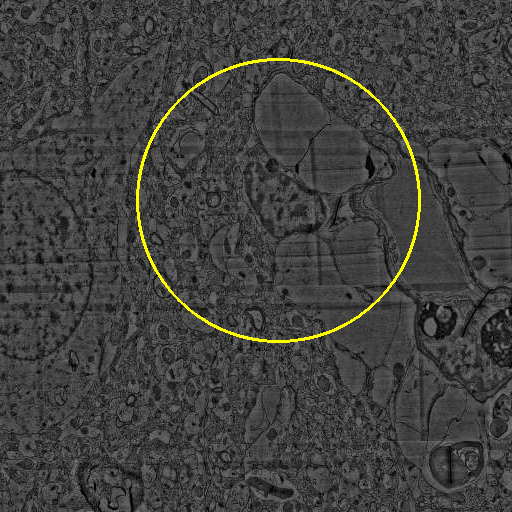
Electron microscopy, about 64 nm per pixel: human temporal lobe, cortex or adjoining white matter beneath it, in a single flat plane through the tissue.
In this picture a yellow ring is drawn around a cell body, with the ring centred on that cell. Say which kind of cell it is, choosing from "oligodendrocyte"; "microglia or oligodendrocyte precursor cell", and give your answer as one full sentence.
Here it is a microglial cell or oligodendrocyte precursor cell that sits at the centre of the drawn yellow ring.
